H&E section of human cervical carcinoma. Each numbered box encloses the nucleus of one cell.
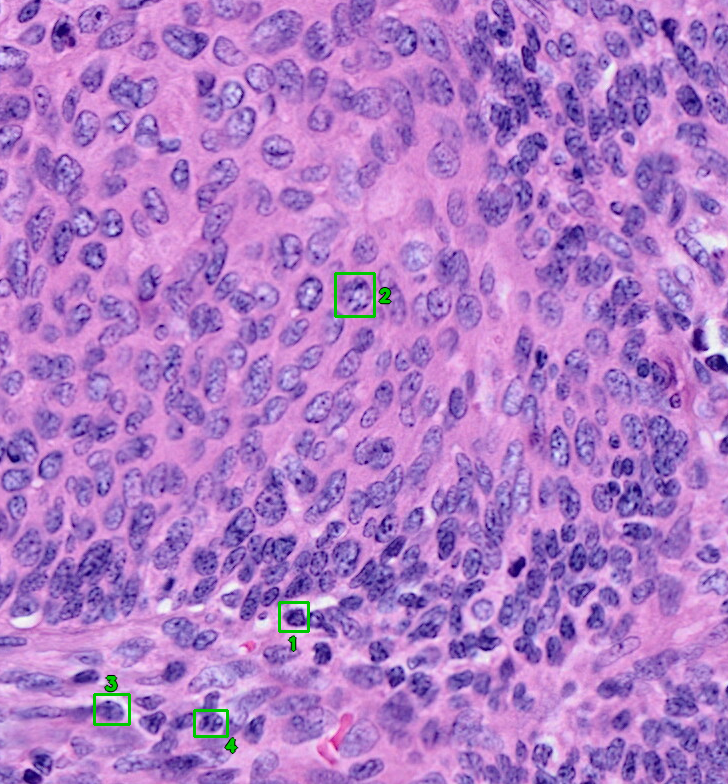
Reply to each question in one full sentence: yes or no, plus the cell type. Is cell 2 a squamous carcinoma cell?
Yes, regarding number 2, the cell is a squamous carcinoma cell.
